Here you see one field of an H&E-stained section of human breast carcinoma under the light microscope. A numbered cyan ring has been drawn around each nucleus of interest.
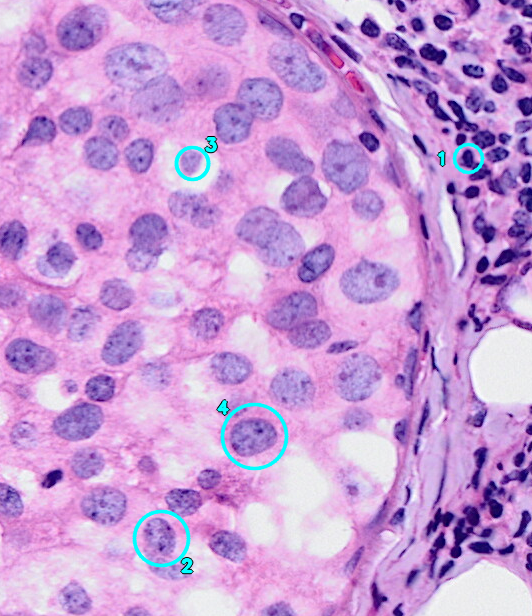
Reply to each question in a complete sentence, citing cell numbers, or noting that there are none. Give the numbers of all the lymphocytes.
Exactly one of the numbered cells is a lymphocyte, namely cell 1.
